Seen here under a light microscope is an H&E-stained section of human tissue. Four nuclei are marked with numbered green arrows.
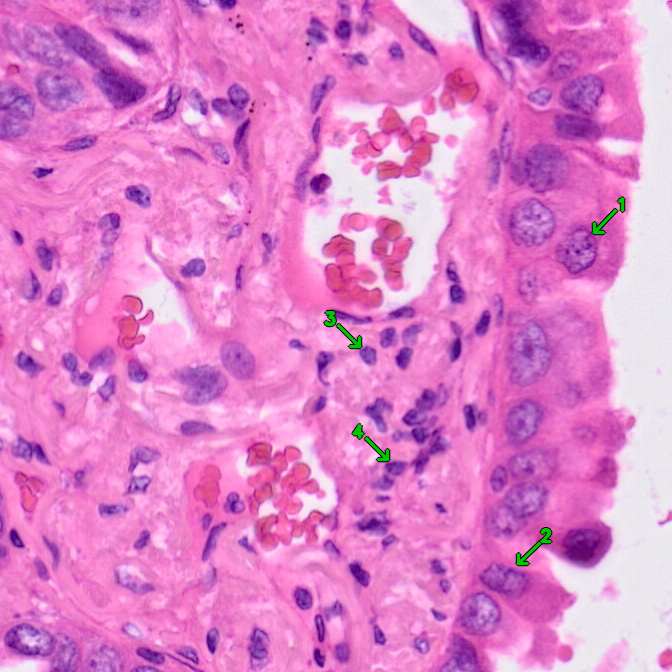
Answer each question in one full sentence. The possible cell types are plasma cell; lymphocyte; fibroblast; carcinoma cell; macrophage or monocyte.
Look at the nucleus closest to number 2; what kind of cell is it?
The nearest nucleus to number 2 belongs to a carcinoma cell.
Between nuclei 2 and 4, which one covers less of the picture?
Number 4 is smaller, since number 2 takes up about 4 times as much area.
